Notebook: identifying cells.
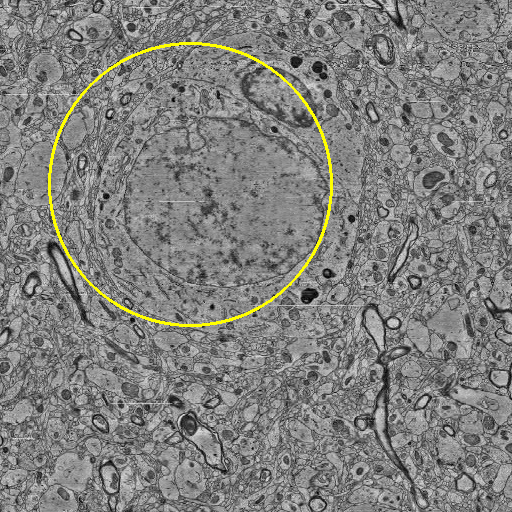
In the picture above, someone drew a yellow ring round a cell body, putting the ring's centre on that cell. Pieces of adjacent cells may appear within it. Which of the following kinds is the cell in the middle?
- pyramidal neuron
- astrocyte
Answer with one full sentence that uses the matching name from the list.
In this picture, the yellow ring is centred on the body of a pyramidal neuron.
